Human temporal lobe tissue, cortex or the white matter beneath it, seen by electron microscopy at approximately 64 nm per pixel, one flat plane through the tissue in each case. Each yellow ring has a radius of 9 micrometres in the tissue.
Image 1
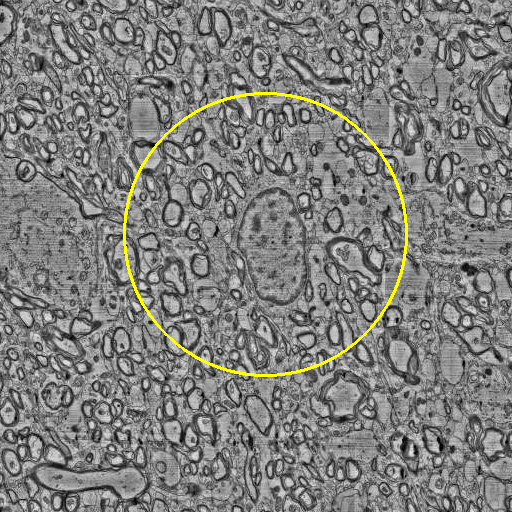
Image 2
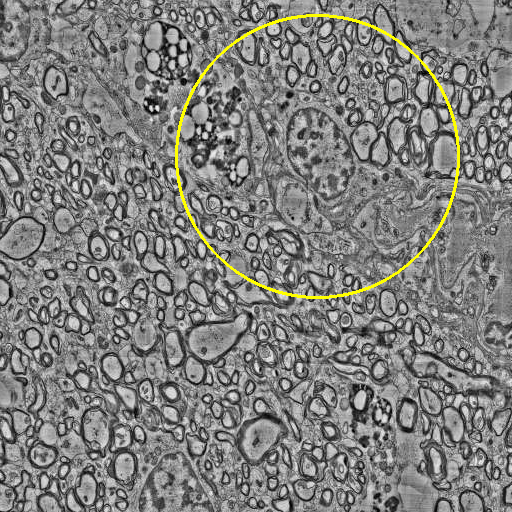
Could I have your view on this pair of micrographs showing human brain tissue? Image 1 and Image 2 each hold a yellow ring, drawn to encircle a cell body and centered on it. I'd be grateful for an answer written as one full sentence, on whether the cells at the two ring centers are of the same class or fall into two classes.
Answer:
The cells at the centers of the two rings are of the same class.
